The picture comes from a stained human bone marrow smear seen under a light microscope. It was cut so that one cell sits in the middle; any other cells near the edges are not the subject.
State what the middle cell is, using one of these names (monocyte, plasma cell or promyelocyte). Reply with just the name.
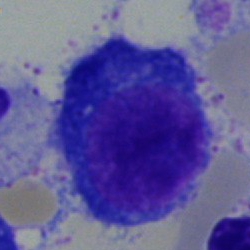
plasma cell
